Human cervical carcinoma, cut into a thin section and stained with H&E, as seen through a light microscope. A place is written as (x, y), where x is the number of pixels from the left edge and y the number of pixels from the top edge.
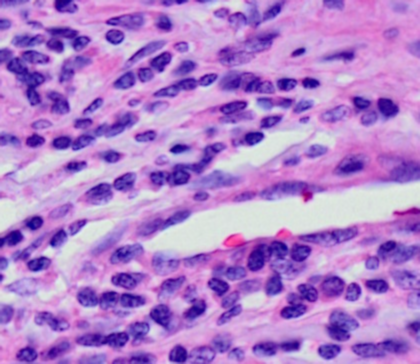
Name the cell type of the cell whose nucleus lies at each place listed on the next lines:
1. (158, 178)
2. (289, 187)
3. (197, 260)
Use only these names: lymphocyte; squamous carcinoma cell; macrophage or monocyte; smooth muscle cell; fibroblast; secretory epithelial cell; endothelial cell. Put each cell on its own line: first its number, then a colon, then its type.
1: lymphocyte
2: endothelial cell
3: endothelial cell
